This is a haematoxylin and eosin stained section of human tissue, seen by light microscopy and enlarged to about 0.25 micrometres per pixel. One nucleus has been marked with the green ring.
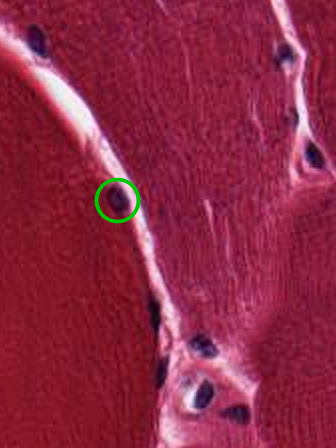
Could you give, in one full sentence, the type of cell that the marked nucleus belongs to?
As shown, the marked nucleus belongs to a skeletal muscle fibre.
